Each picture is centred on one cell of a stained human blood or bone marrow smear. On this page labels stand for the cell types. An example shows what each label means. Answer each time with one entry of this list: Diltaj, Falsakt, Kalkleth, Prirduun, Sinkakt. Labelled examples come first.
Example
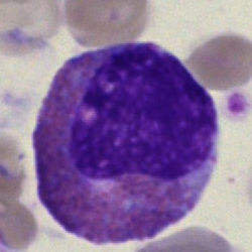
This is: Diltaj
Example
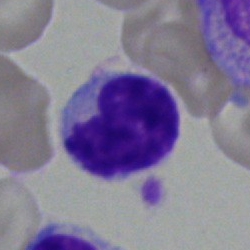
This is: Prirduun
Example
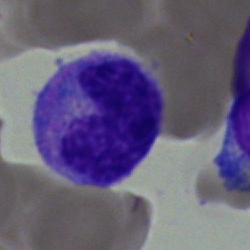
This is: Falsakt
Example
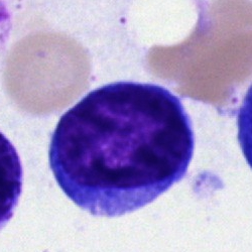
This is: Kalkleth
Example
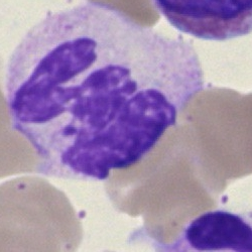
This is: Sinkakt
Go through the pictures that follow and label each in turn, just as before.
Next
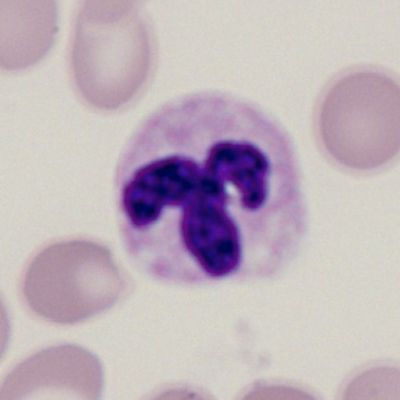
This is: Sinkakt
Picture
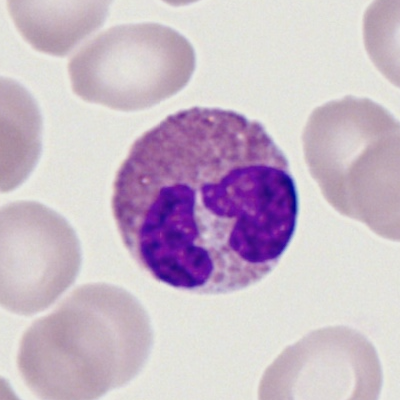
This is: Diltaj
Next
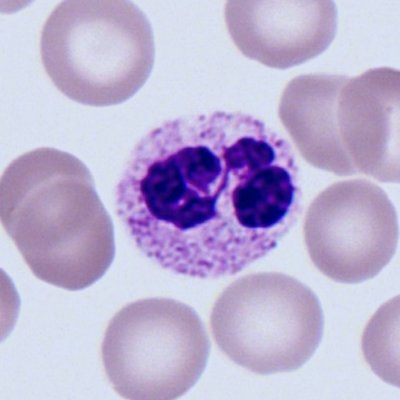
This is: Sinkakt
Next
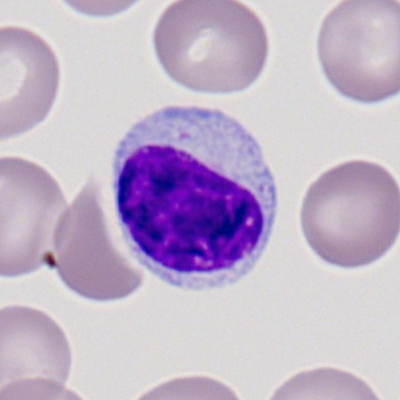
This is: Prirduun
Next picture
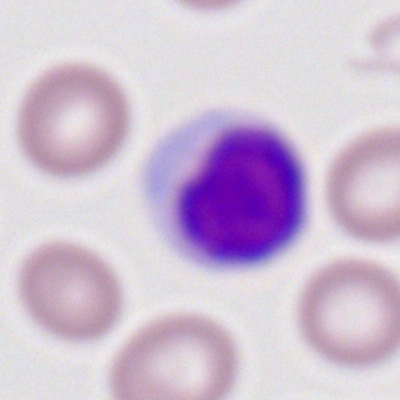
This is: Prirduun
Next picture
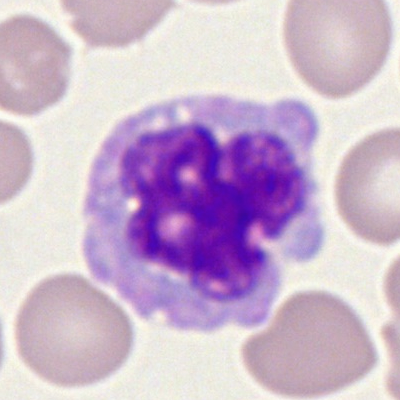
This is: Falsakt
